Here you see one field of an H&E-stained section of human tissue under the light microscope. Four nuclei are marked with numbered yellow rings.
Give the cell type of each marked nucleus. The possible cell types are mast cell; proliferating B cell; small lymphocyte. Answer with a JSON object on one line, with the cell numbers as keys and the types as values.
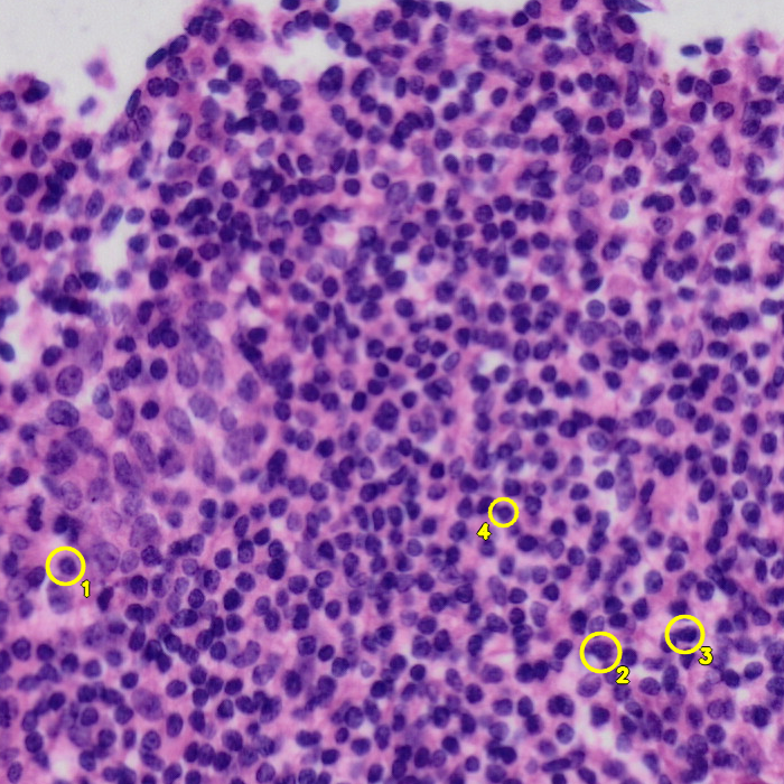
{"1": "proliferating B cell", "2": "small lymphocyte", "3": "small lymphocyte", "4": "small lymphocyte"}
